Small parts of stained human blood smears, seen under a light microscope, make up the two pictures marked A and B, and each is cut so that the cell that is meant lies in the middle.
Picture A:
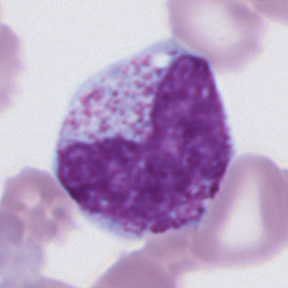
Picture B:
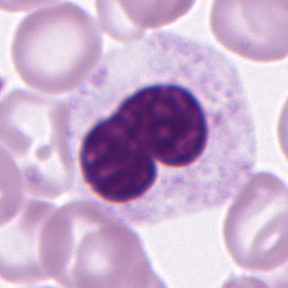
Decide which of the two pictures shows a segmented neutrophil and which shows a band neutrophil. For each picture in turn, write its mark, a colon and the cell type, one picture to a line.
A: band neutrophil
B: segmented neutrophil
